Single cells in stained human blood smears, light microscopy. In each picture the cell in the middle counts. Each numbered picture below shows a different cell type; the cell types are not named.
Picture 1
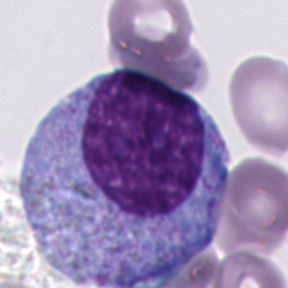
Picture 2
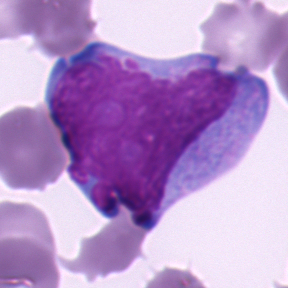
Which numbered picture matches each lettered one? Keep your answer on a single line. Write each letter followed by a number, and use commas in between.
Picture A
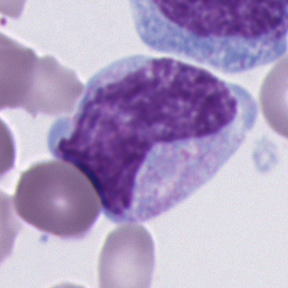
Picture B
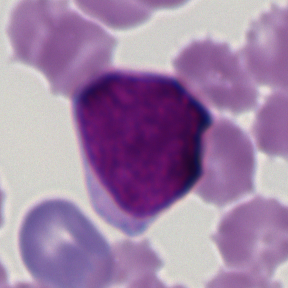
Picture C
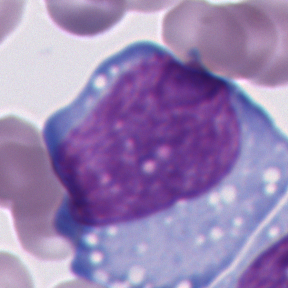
A 1, B 2, C 2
